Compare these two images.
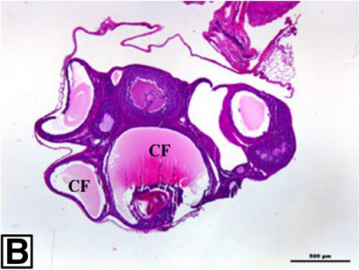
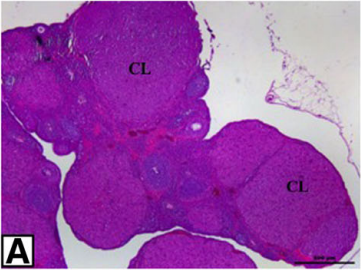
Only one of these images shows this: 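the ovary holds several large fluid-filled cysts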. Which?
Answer: The first image.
